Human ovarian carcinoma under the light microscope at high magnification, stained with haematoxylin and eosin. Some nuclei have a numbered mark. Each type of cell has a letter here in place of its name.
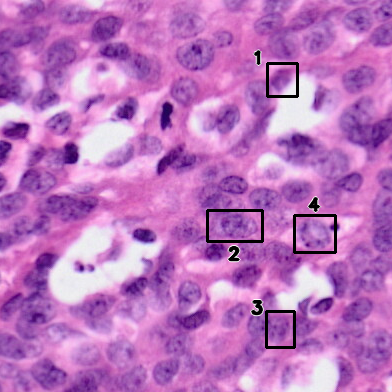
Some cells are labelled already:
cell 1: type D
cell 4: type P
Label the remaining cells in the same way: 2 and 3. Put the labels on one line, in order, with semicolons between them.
type D; type D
